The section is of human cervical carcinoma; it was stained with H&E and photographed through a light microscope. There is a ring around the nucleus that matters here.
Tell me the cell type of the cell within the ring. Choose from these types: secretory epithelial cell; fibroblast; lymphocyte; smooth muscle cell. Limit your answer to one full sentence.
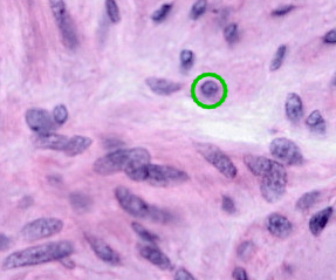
The cell type represented by the cell within the ring is that of a smooth muscle cell.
